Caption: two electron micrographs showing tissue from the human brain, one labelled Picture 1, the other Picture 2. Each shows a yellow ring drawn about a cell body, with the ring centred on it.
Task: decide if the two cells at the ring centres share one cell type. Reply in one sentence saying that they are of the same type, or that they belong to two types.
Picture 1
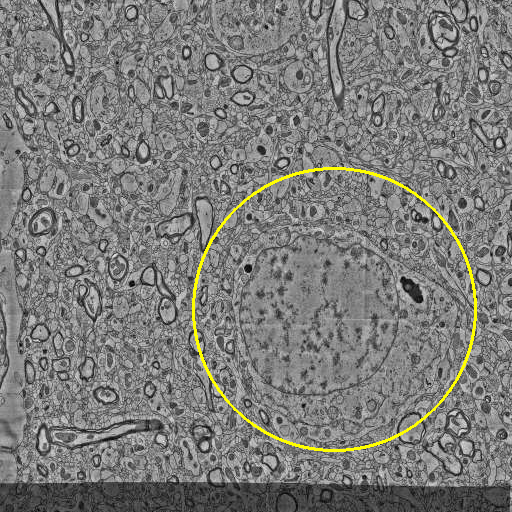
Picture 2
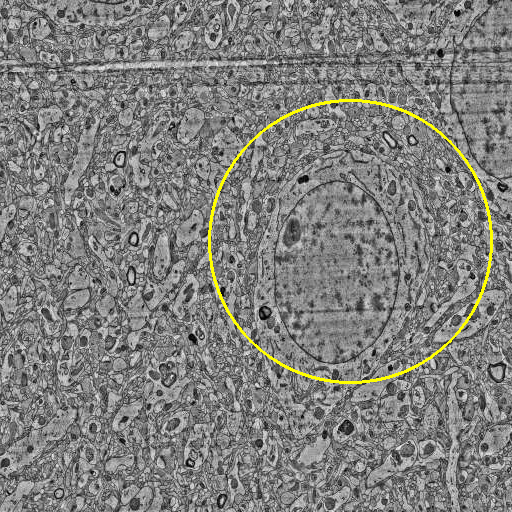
The cells at the ring centres in Picture 1 and Picture 2 are of the same type.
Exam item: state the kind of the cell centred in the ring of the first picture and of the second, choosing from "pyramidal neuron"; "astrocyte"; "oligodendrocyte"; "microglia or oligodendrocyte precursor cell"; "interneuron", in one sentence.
The ring centre holds a pyramidal neuron in each of the two pictures.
